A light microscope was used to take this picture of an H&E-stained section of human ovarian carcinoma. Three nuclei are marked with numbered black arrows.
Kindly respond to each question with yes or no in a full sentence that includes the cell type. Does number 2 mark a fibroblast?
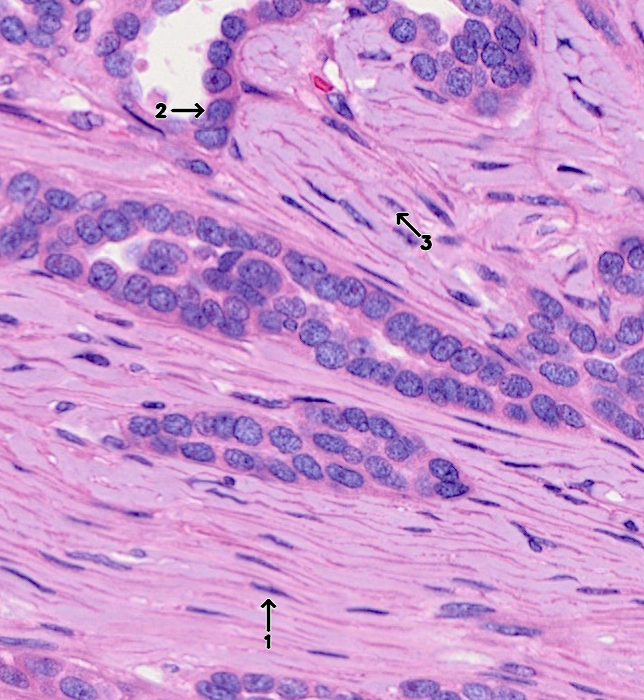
No, number 2 identifies a carcinoma cell, not a fibroblast.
